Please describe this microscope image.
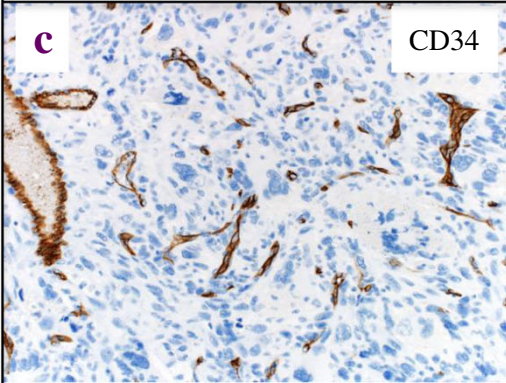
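Tumour tissue in which the brown stain is confined to thin, branching linings of small vessels and to the wall of a larger vessel at the left edge. The tumour cells between these channels are unstained, showing only blue nuclei that are oval to spindle-shaped and vary in size, with occasional large, dark, irregular nuclei. The cells lie loosely and without a regular arrangement, and the small vessels run through the tumour in many directions.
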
